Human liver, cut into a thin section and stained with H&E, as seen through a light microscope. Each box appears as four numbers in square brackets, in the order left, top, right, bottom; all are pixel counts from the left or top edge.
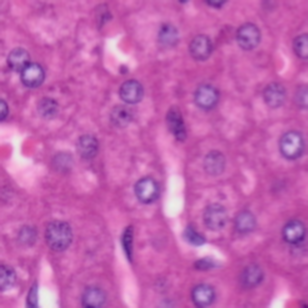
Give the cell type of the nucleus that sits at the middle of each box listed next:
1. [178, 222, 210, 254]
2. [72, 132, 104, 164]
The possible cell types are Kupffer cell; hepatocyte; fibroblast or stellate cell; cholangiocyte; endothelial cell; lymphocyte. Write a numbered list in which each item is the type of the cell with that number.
1. endothelial cell
2. hepatocyte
